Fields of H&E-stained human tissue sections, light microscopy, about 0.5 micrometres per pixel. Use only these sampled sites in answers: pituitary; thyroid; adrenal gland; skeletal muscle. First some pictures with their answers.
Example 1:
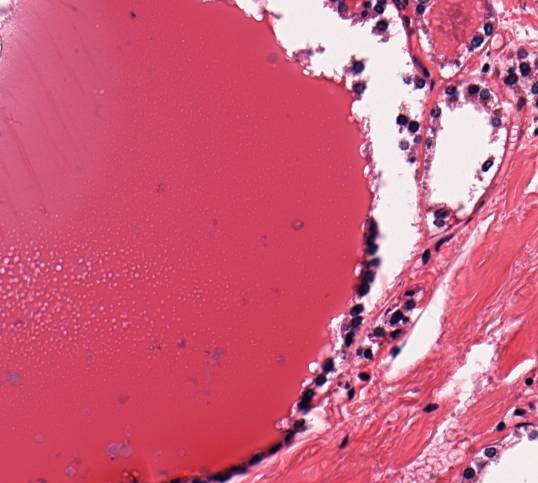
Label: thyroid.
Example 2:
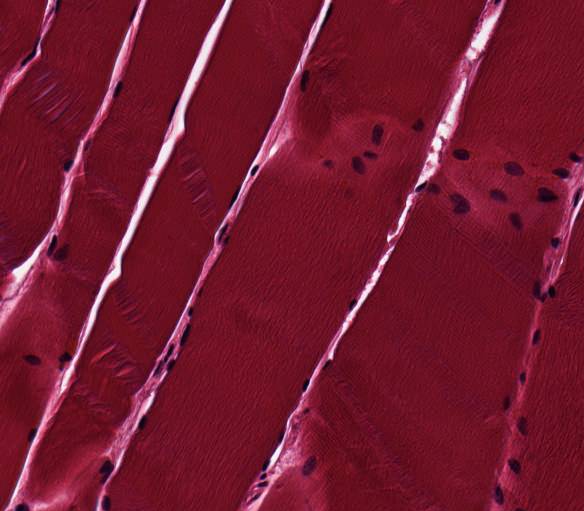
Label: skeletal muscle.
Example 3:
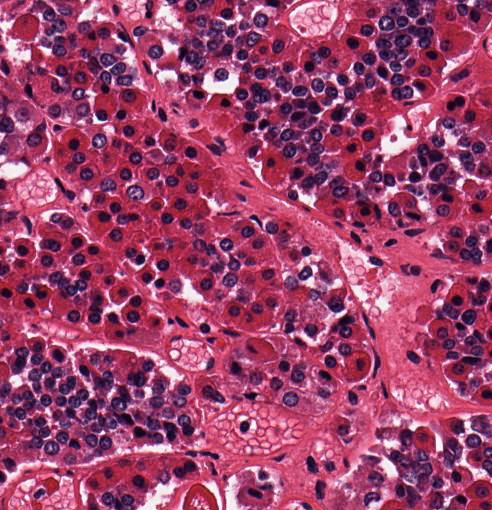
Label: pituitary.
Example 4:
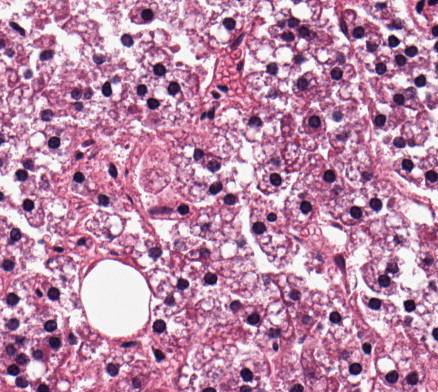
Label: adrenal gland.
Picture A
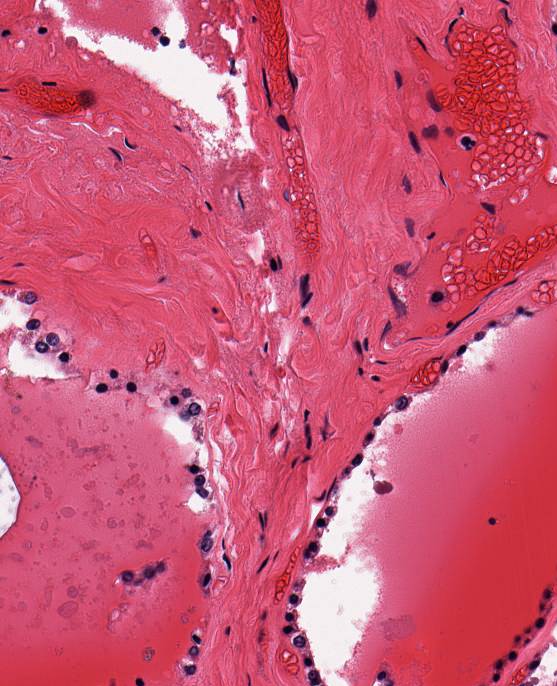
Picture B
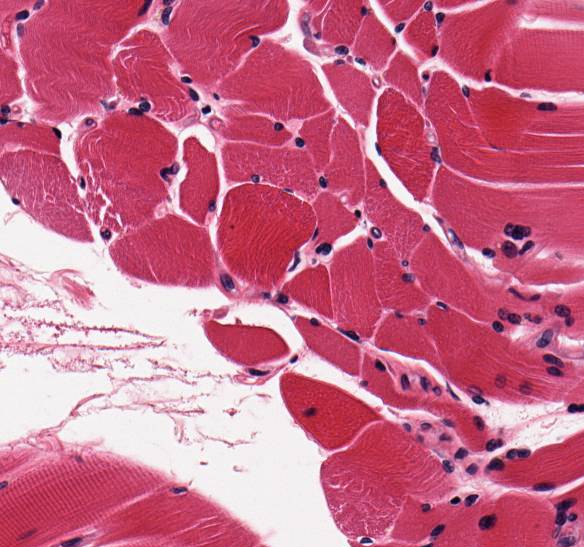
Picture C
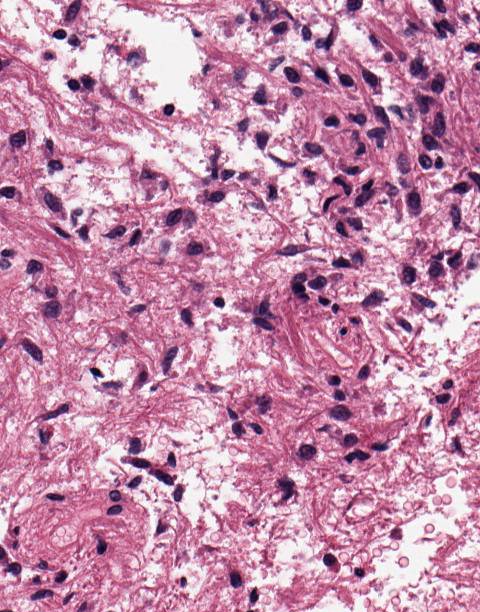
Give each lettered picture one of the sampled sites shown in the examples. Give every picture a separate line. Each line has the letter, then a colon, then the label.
A: thyroid.
B: skeletal muscle.
C: pituitary.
